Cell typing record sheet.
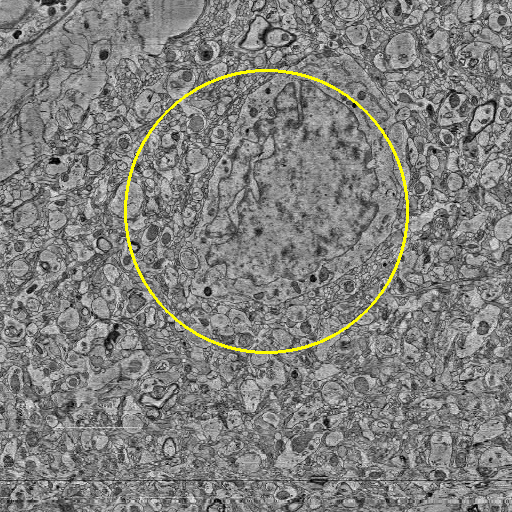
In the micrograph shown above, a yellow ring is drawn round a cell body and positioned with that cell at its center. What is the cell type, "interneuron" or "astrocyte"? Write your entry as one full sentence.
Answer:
The cell body at the center of the ring belongs to an interneuron.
